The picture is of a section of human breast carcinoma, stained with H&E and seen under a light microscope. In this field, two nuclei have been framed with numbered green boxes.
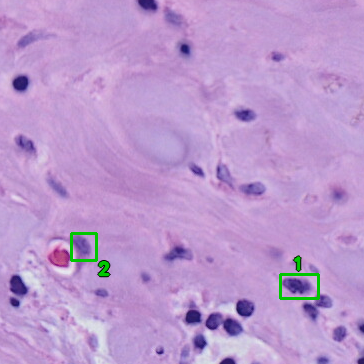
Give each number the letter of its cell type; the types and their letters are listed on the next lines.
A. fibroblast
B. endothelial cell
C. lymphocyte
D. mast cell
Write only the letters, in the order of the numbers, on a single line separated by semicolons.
C; B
